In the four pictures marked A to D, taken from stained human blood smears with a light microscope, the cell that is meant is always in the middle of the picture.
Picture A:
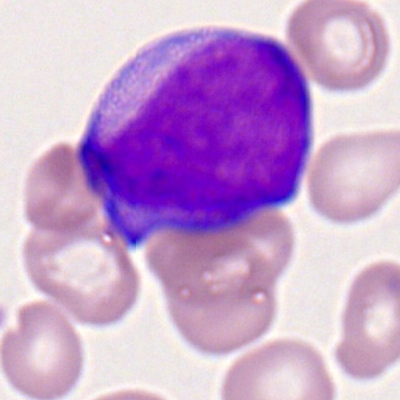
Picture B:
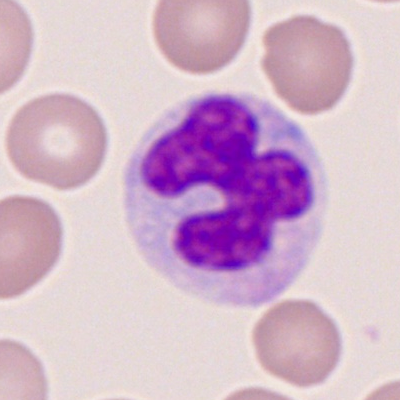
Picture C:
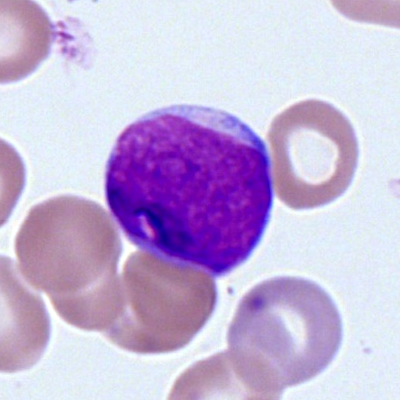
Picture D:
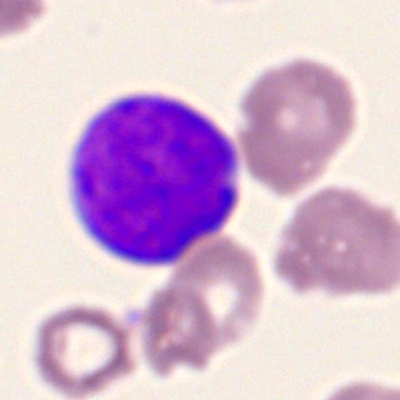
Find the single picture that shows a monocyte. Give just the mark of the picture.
B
